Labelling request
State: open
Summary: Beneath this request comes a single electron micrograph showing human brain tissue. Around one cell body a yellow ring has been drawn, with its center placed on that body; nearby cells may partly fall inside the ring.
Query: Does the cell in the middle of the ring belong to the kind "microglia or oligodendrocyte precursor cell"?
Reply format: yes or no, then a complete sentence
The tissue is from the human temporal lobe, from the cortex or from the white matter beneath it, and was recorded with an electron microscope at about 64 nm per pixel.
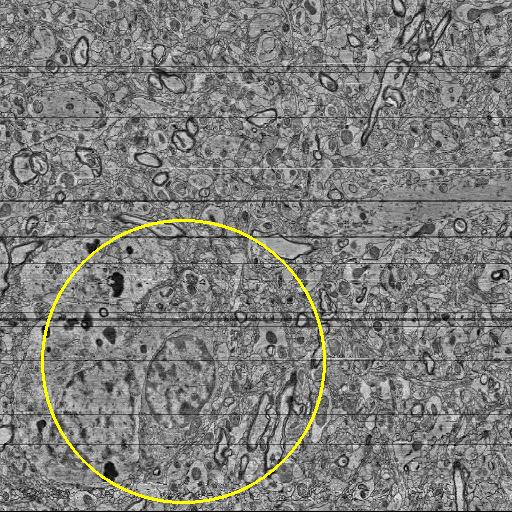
No, the cell sitting at the center of the ring in this picture is of a different kind.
